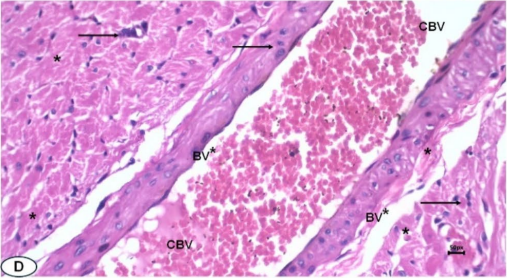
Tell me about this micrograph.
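This is heart muscle in which the cardiac muscle fibers at the sides appear broken up and disarrayed rather than in neat parallel rows. Through the middle runs a large blood vessel packed with red blood cells, its wall lined by purple nuclei. Some nuclei in the muscle look irregular in shape. The pink cytoplasm of the fibers is patchy and fragmented.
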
